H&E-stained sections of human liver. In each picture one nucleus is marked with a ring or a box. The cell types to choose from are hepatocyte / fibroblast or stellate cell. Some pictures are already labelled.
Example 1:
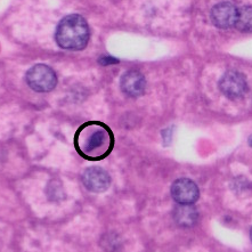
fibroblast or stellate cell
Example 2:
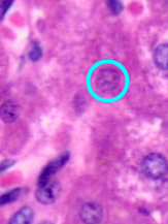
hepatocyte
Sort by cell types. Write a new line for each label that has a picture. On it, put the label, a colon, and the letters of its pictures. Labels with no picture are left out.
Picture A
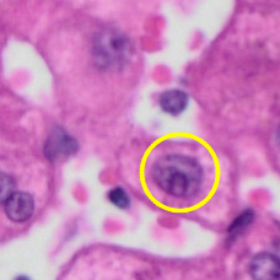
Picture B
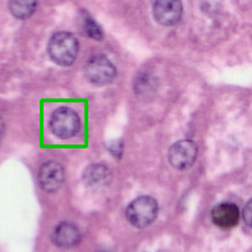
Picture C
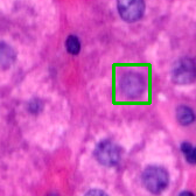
hepatocyte: A, B, C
